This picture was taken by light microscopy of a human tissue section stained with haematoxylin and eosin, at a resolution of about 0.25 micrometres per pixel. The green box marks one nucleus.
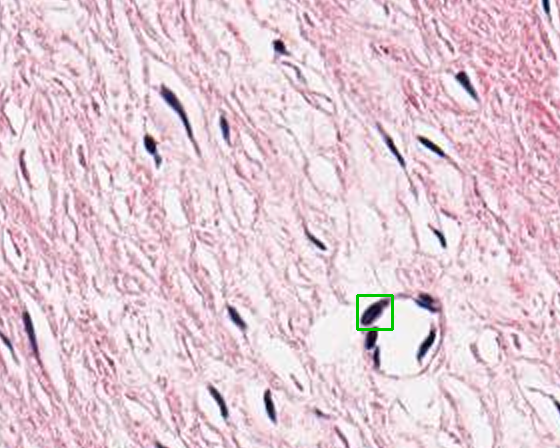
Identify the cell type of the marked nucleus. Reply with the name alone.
endothelial cell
